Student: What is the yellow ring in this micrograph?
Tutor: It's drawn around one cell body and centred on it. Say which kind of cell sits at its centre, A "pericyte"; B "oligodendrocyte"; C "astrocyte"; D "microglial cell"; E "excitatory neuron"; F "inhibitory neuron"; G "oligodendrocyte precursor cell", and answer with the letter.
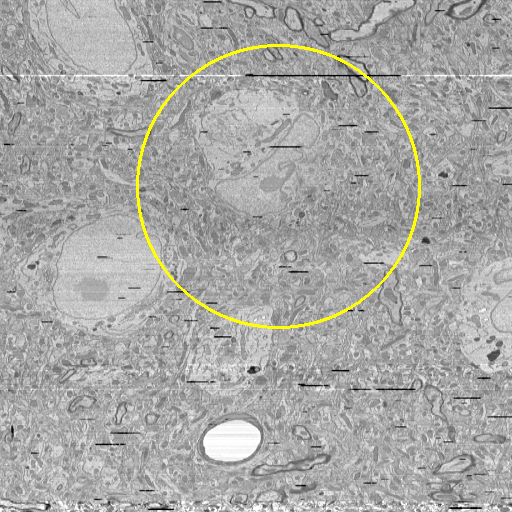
G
